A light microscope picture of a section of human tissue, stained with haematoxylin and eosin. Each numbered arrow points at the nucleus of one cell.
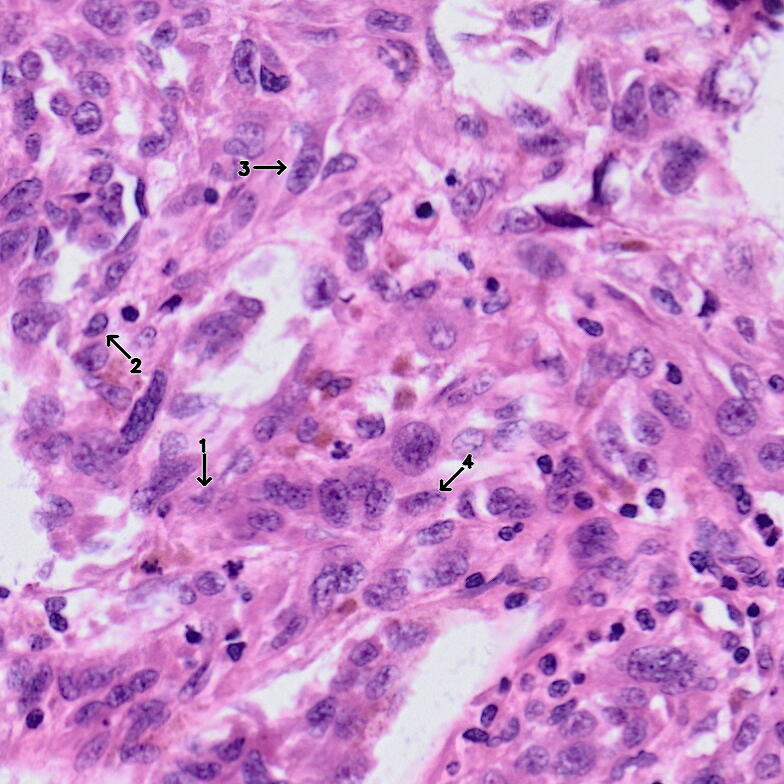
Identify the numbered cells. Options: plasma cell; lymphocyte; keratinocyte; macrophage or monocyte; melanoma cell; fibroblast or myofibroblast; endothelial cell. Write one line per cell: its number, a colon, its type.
1: melanoma cell
2: macrophage or monocyte
3: melanoma cell
4: melanoma cell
